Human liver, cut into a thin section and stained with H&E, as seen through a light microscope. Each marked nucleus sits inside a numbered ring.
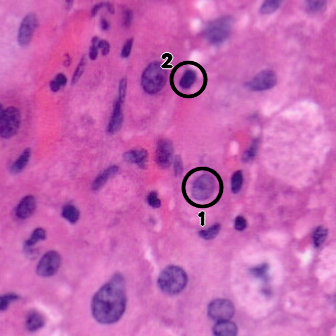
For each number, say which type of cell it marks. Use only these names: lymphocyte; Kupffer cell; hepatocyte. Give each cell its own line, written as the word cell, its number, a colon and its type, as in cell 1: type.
cell 1: hepatocyte
cell 2: lymphocyte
